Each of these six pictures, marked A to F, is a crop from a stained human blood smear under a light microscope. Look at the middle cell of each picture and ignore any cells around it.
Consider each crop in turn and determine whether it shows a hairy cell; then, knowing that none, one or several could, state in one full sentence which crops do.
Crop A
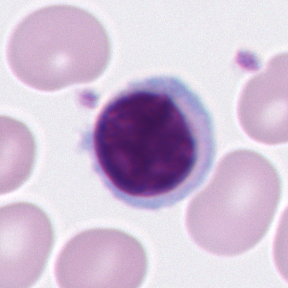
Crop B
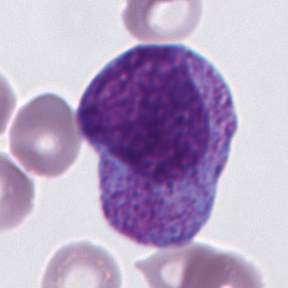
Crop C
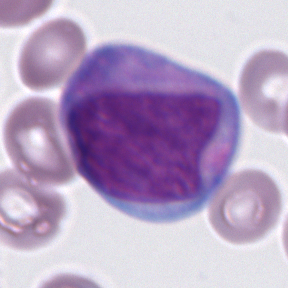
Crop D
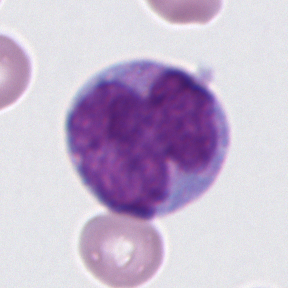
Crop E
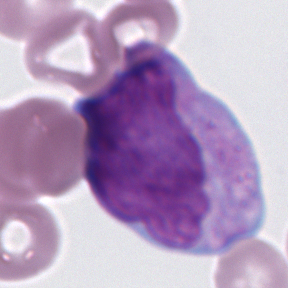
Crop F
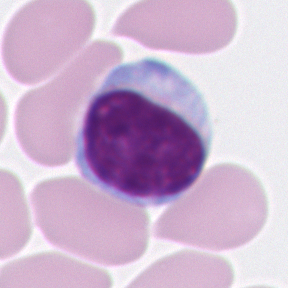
None of the central cells in the crops is a hairy cell.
